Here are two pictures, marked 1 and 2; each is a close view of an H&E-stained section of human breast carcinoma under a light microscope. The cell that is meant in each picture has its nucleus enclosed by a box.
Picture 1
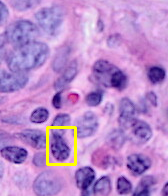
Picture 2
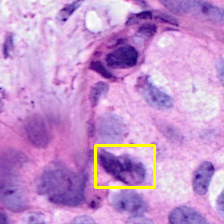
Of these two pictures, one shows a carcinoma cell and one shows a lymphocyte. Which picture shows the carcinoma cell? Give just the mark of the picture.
2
